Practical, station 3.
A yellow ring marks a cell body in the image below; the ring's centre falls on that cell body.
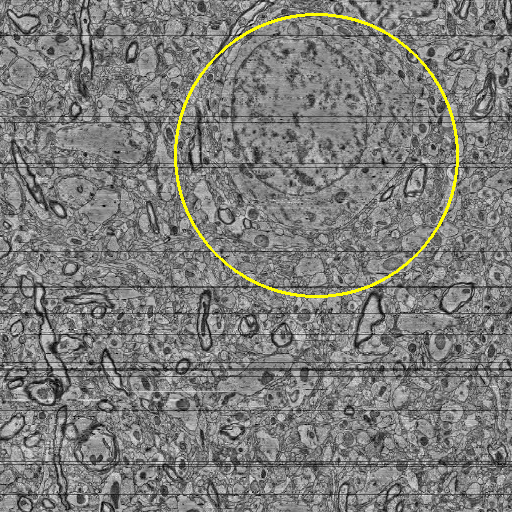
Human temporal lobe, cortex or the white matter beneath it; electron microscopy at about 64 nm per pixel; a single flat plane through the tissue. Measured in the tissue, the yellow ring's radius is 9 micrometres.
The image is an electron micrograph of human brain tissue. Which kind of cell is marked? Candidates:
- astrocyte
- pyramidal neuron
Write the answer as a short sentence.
The marked cell body is that of a pyramidal neuron.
